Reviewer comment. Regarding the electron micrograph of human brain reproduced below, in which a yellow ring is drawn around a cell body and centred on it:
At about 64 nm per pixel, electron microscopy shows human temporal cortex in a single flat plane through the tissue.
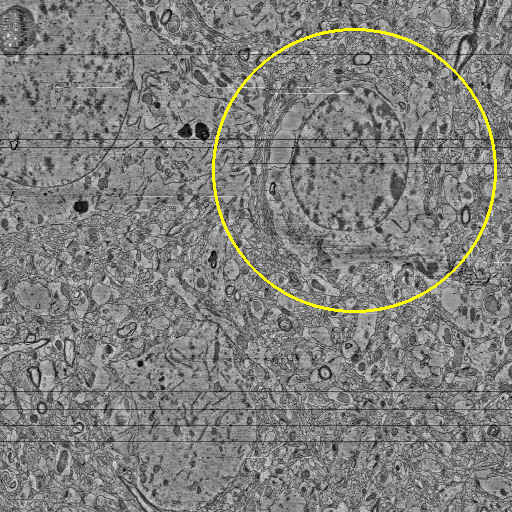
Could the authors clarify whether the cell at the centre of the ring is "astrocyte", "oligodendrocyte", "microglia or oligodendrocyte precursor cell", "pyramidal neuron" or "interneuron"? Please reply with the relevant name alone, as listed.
astrocyte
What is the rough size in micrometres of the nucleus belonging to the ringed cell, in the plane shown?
In this plane the nucleus measures roughly 8 micrometres across.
